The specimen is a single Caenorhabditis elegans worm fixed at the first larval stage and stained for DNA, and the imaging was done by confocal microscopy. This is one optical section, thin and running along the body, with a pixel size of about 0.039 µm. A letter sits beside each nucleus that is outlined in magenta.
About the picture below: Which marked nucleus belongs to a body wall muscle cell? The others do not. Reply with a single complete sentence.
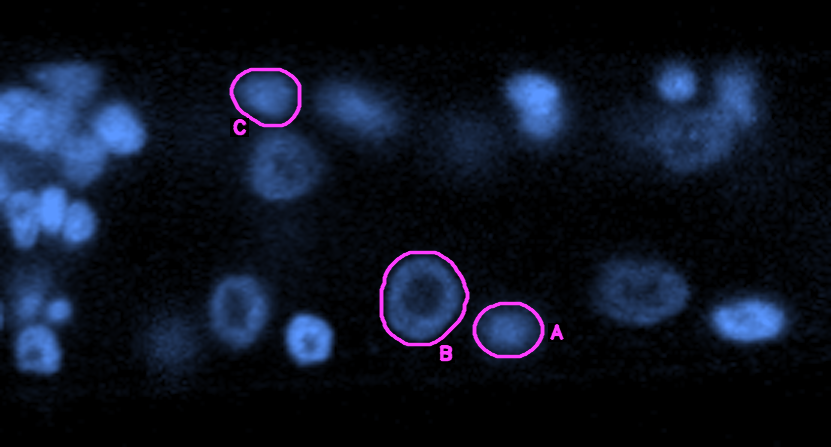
A is from a body wall muscle cell.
